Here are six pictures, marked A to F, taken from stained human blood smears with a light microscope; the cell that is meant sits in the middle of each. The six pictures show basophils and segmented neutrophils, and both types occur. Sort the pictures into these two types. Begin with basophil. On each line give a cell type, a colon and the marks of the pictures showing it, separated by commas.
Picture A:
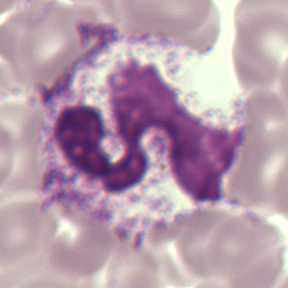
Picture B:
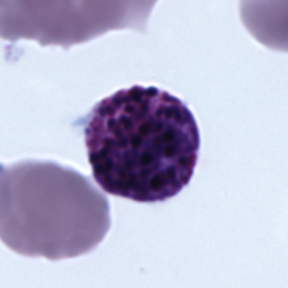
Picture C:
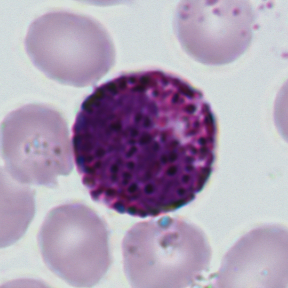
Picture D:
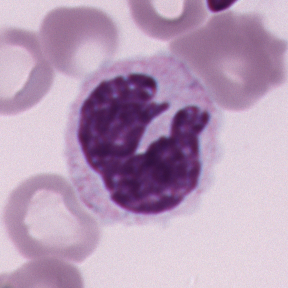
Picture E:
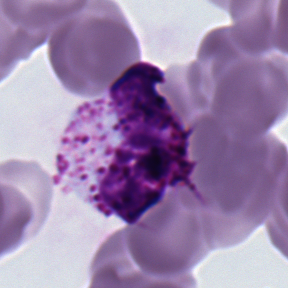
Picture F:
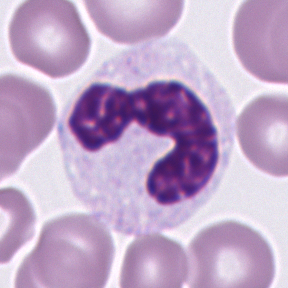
basophil: B, C, E
segmented neutrophil: A, D, F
